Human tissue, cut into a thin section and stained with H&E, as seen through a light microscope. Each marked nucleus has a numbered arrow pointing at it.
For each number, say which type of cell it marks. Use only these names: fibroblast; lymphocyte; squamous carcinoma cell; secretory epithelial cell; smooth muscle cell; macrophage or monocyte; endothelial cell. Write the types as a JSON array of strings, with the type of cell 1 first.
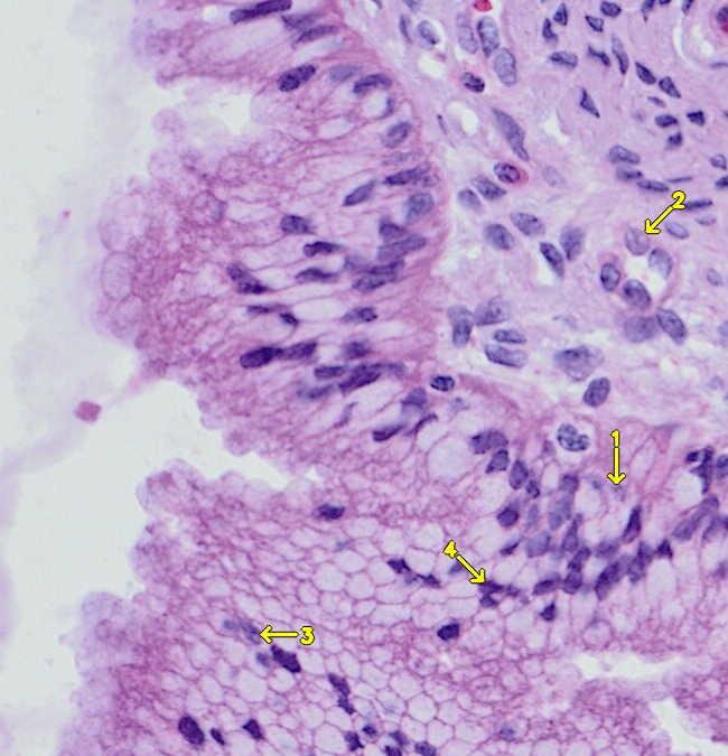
["secretory epithelial cell", "endothelial cell", "secretory epithelial cell", "secretory epithelial cell"]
